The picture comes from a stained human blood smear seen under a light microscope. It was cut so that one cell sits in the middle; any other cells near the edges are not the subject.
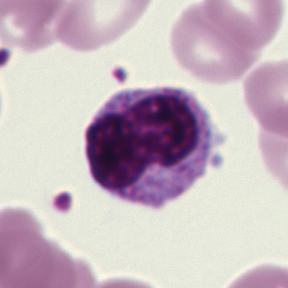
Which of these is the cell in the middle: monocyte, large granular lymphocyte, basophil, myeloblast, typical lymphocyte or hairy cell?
large granular lymphocyte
